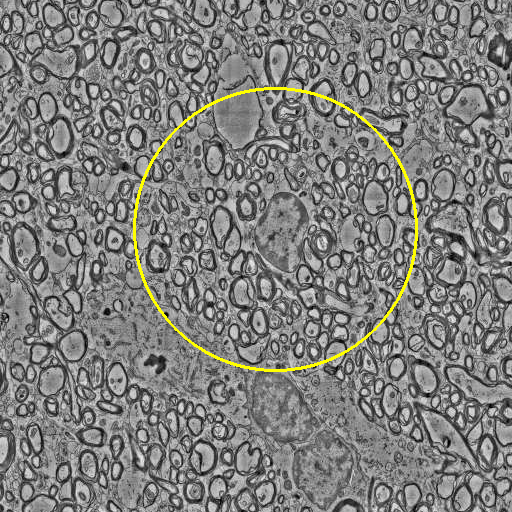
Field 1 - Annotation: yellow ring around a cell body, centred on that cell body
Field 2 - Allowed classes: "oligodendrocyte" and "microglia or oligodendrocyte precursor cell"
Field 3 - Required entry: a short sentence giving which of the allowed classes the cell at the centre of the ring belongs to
The centred cell is a microglial cell or oligodendrocyte precursor cell.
